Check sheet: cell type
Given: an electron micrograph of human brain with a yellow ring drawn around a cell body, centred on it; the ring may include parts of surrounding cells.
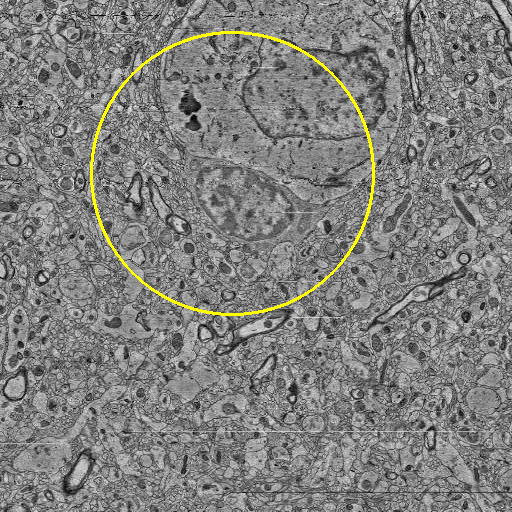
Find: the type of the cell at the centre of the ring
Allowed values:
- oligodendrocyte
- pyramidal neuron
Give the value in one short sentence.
Here the ringed cell is an oligodendrocyte.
